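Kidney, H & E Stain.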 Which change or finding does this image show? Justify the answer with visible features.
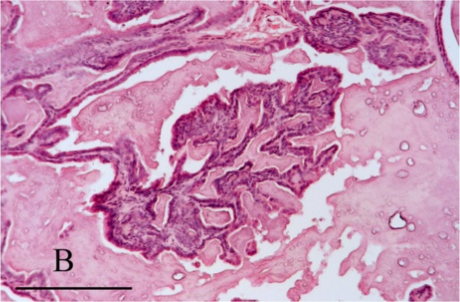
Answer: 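Frond-like cord. A branching, folded strand of dark purple epithelium sits in pale pink material. The strand has finger-like folds with thin stalks between them.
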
